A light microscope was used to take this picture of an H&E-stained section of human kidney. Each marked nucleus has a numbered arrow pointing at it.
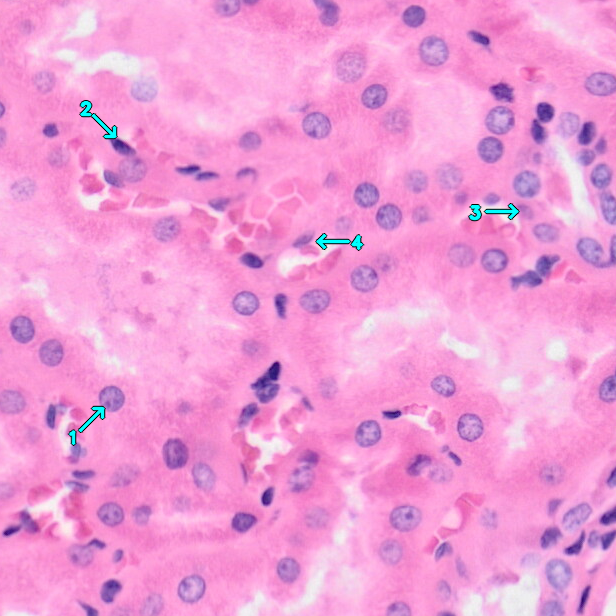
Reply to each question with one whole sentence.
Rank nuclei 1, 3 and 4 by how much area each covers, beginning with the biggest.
From largest to smallest, the order is 1, 4, 3.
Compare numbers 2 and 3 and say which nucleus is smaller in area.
With nucleus 2 about 2 times its size, nucleus 3 is the smaller of the two.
